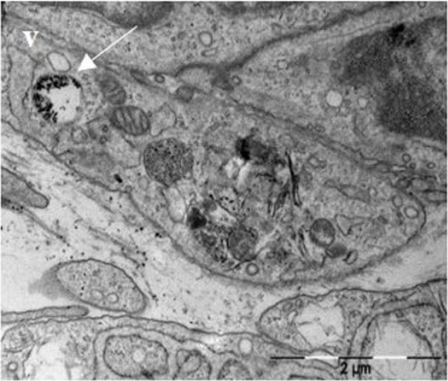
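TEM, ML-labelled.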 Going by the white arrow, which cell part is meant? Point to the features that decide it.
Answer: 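Endosomal structures. The arrow points to a small membrane-bound vesicle in the cytoplasm. The vesicle holds clustered black electron-dense granules against a pale lumen.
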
